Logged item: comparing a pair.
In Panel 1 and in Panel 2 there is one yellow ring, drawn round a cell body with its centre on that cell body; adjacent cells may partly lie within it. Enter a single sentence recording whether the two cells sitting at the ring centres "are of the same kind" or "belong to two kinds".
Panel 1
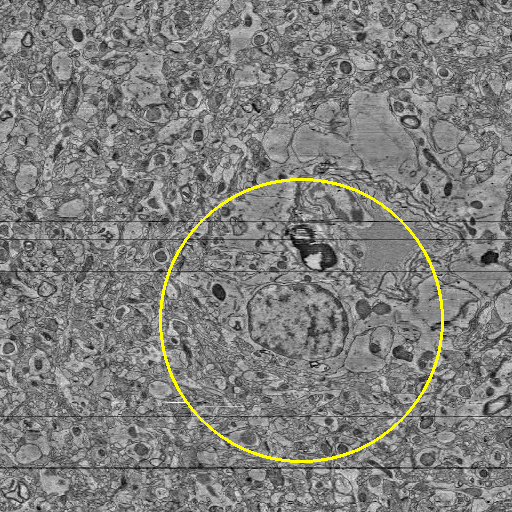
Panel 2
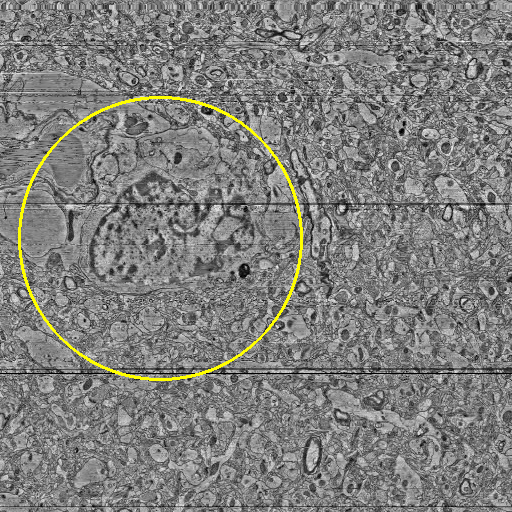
Logged: the cells centred in the rings of Panel 1 and Panel 2 are of the same kind.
